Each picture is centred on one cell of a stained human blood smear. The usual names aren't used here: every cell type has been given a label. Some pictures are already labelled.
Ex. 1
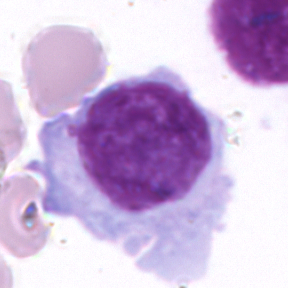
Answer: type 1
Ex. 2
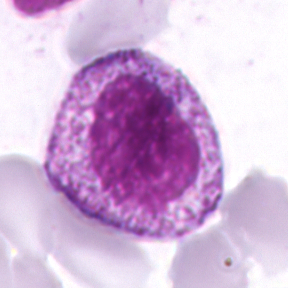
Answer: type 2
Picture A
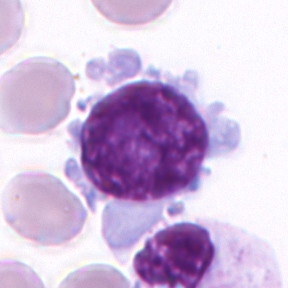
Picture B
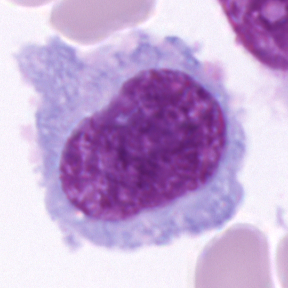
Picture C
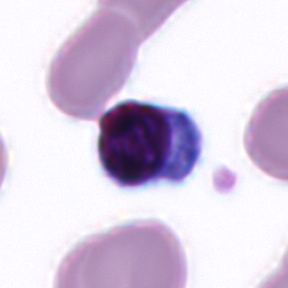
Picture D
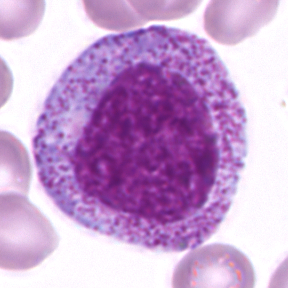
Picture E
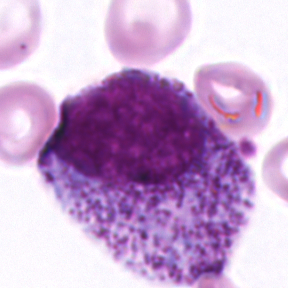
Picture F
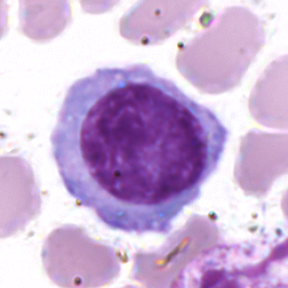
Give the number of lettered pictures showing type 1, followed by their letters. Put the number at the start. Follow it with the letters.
Count: 4 (A, B, C, F)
